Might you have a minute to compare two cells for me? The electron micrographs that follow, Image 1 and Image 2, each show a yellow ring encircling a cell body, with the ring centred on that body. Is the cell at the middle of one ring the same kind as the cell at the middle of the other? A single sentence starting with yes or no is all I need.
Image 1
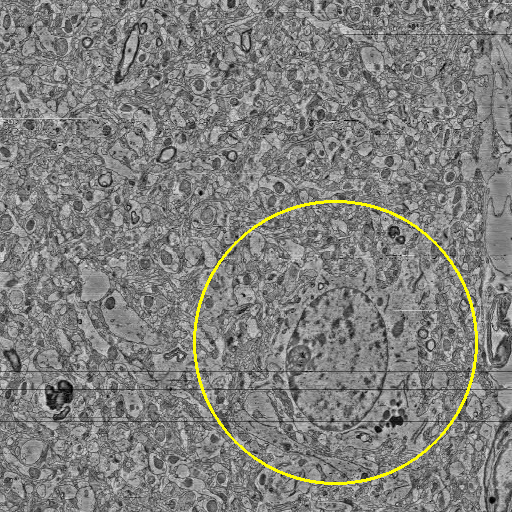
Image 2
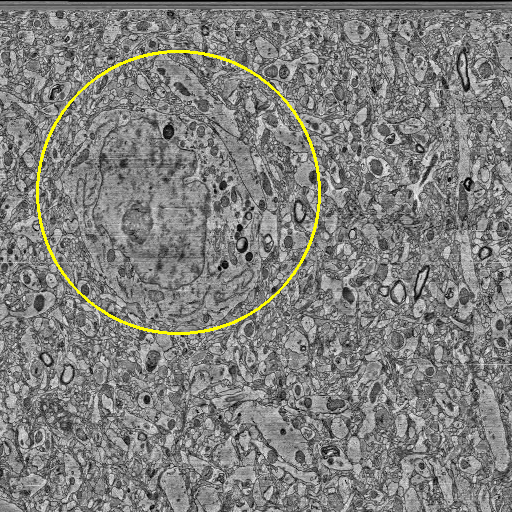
No, the cells in the middle of the two rings are of two separate kinds.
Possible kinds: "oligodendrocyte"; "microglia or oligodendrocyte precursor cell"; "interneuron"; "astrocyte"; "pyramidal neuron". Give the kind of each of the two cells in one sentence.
The cell in the second picture is an interneuron, and that in the first is an astrocyte.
